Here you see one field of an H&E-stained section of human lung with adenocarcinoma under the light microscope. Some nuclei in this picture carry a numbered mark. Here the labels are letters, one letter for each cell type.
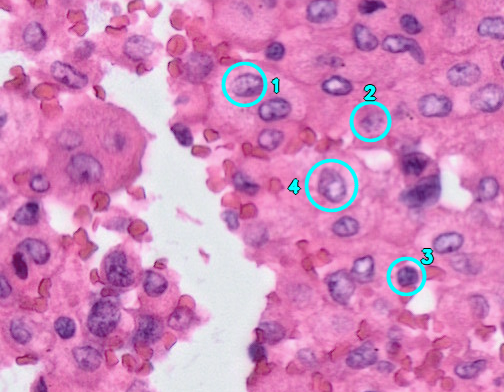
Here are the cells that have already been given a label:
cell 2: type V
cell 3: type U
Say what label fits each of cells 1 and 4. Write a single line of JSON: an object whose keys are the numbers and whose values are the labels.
{"1": "type V", "4": "type V"}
